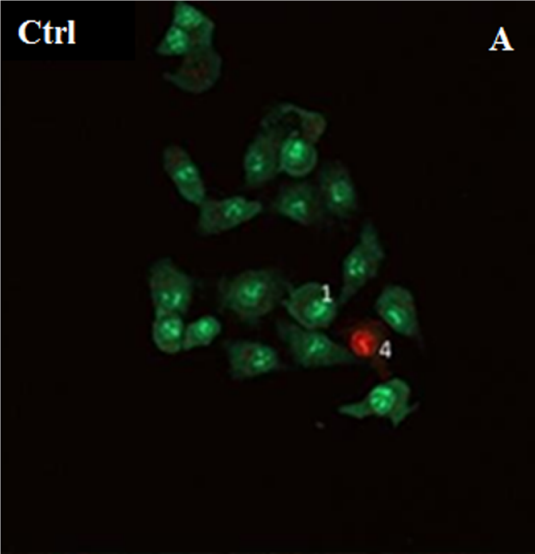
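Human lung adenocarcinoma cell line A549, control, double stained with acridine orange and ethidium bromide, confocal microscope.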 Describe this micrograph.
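Most cells are spread out, polygonal to spindle-shaped, with faintly green cytoplasm. A single cell near the lower part of the field stands out by its orange-red staining, unlike all its neighbours. No shrunken or broken-up cells are seen among the green cells.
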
